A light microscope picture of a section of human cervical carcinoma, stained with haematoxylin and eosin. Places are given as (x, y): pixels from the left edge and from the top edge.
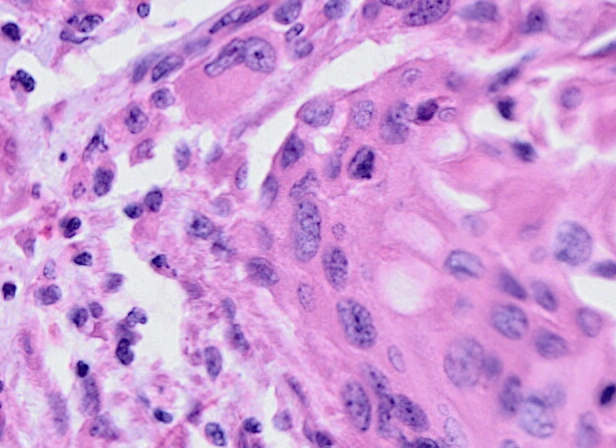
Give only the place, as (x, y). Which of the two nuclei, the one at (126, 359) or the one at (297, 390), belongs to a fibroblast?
(297, 390)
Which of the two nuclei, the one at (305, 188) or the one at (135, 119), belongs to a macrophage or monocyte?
(135, 119)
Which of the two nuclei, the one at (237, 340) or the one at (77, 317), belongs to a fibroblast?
(237, 340)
